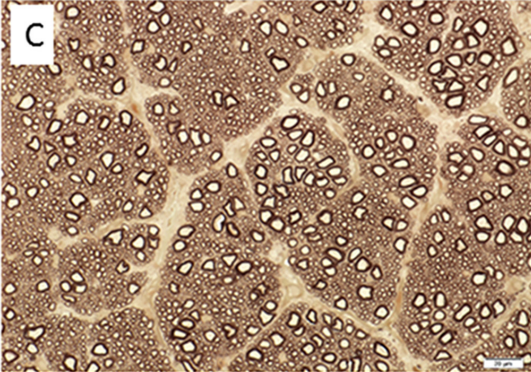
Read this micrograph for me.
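Cross-section of optic nerve showing myelinated axons packed in fascicles. Each axon appears as a pale round to angular core ringed by a dark brown myelin sheath. Calibres vary widely: many small axons crowd the fascicles, with larger ones scattered among them. Fascicles are polygonal and separated by thin pale septa of connective tissue. Axons fill the fascicles densely with little empty space between them.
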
